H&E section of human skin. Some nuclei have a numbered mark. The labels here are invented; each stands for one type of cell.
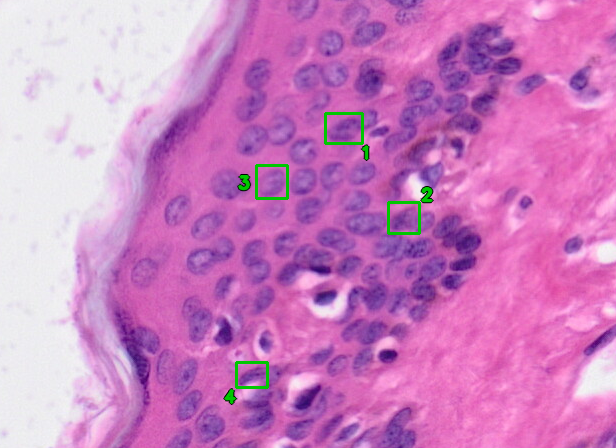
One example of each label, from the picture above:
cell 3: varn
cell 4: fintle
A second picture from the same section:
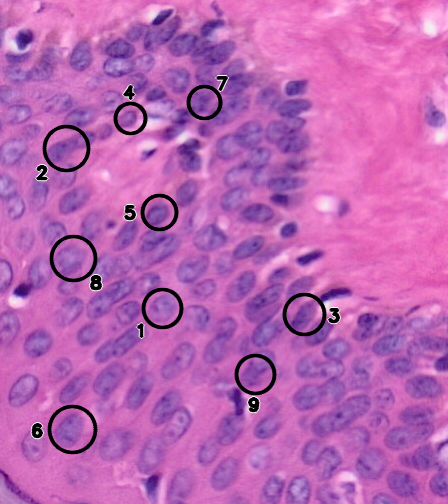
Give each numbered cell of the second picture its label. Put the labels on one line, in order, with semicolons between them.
varn; fintle; fintle; fintle; fintle; varn; fintle; varn; varn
